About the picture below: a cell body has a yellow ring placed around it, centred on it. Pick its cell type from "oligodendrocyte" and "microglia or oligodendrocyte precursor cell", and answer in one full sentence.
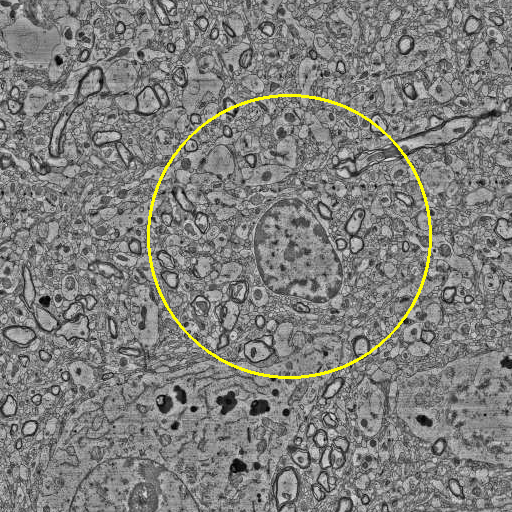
In the picture, a microglial cell or oligodendrocyte precursor cell is the cell sitting at the centre of the yellow ring.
